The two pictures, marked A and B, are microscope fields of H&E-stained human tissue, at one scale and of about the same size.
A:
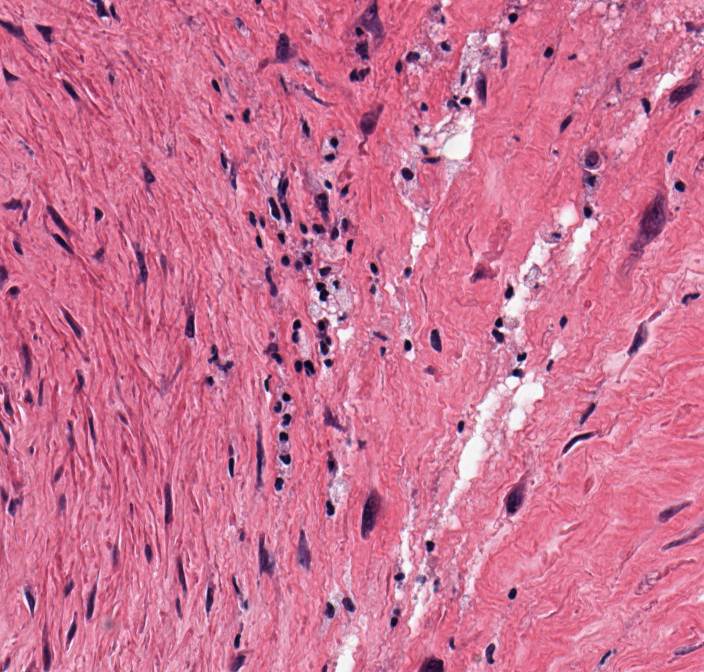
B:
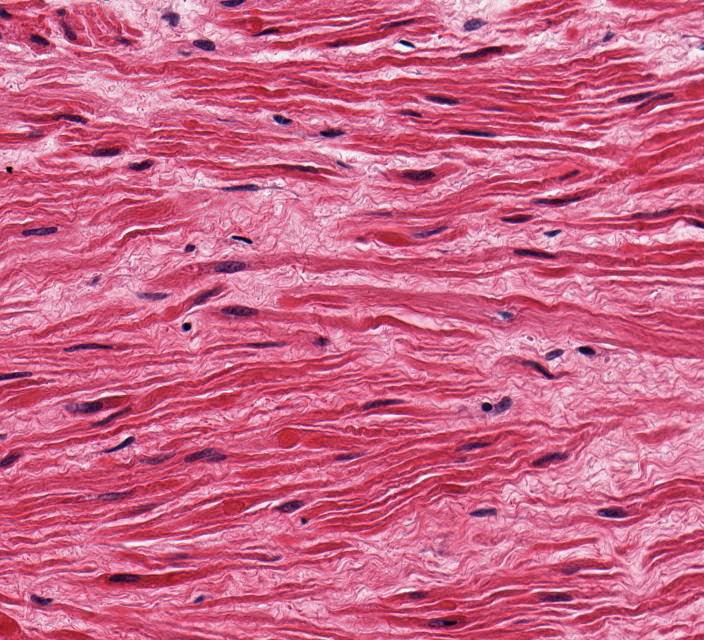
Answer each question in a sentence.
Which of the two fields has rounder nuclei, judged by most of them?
It is picture A whose nuclei are the rounder.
